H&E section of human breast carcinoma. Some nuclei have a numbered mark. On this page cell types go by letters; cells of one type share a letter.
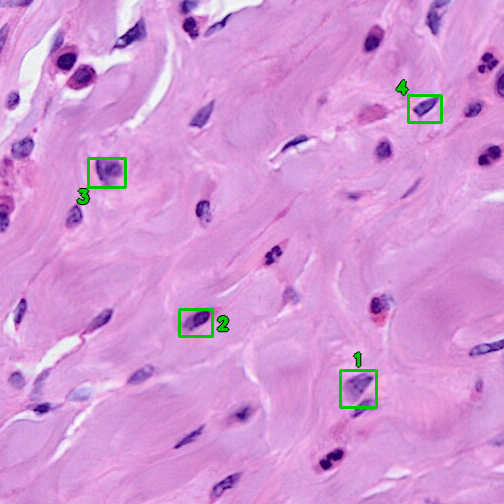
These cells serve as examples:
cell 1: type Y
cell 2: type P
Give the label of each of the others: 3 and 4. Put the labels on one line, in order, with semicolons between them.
type Y; type Y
